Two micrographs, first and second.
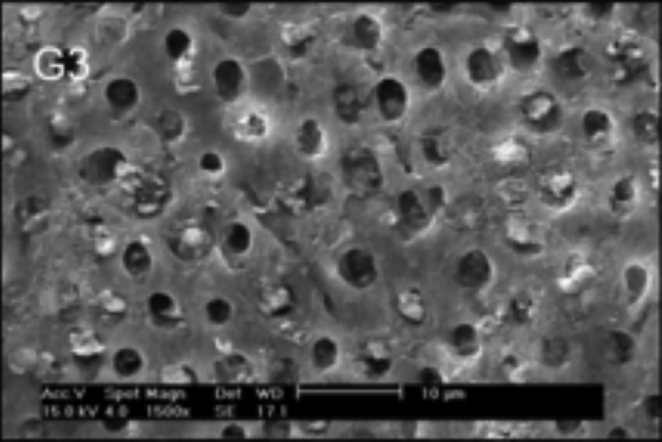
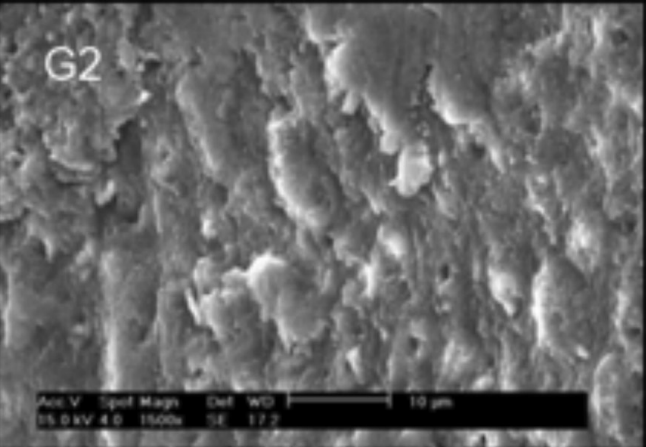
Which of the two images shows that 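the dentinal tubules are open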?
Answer: The first image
